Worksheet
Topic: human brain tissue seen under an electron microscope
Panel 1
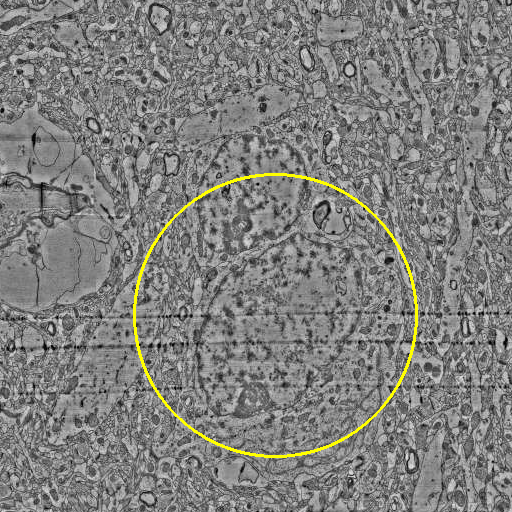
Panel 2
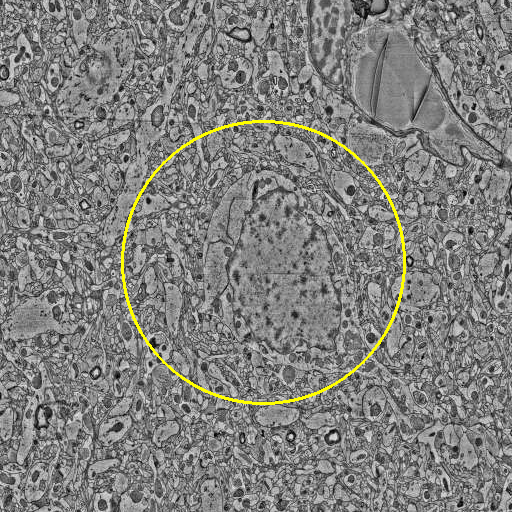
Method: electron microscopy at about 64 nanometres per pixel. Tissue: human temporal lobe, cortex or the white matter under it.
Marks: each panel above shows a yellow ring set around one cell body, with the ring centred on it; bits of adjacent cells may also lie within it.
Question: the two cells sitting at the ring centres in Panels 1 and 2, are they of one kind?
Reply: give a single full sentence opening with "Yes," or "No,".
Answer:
Yes, the two ring-centre cells in Panel 1 and Panel 2 are of one kind.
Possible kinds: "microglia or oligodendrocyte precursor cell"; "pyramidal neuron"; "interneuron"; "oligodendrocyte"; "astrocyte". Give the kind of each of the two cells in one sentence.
In both pictures the ring is centred on an interneuron.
